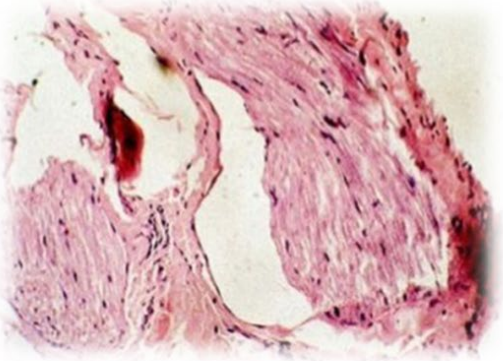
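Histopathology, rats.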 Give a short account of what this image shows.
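A longitudinal section of peripheral nerve in which pink-stained fibres run in parallel, gently wavy bundles. Two or three large fascicles fill the field, separated by pale clear spaces crossed by thin connective tissue strands. Within each bundle the fibres lie tightly side by side, oriented along the long axis of the fascicle. Small dark purple nuclei are scattered among the fibres; most are slender and spindle-shaped, aligned with the fibres. A few nuclei are denser near the bundle margins. A dark red body lies in the space between bundles near the top.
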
